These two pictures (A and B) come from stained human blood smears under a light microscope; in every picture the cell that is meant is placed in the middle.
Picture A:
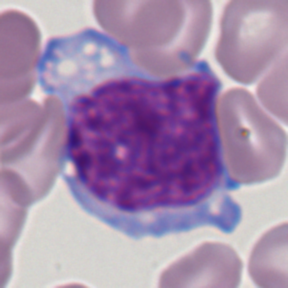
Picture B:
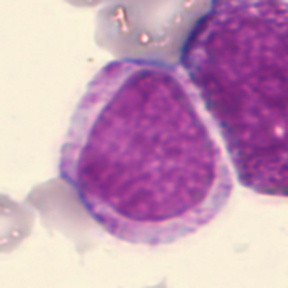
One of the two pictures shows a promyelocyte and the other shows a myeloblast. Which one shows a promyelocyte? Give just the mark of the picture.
B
